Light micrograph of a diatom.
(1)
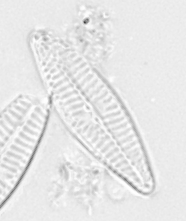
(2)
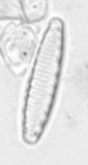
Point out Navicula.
That is picture 1.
